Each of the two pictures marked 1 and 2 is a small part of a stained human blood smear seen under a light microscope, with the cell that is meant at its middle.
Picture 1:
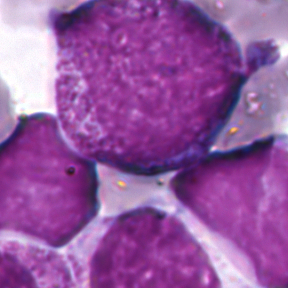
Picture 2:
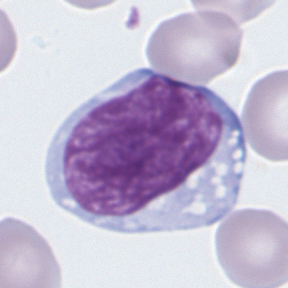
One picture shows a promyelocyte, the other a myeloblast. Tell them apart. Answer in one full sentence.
The cell in picture 1 is a promyelocyte, and the one in picture 2 is a myeloblast.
